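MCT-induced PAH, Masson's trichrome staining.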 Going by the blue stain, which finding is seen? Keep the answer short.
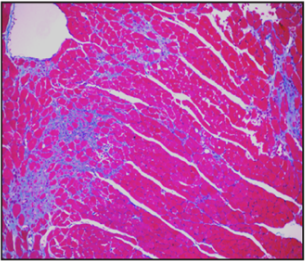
myocardial fibrosis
